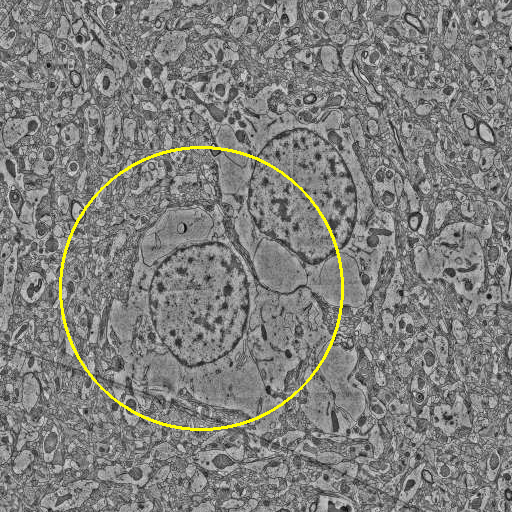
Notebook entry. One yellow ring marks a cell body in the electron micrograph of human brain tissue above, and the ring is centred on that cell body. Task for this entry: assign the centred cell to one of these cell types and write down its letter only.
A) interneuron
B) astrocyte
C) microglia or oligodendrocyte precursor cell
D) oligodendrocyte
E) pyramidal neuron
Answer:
B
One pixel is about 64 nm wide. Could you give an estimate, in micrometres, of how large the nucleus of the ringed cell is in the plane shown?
The nucleus measures about 8 by 7 micrometres in this plane.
